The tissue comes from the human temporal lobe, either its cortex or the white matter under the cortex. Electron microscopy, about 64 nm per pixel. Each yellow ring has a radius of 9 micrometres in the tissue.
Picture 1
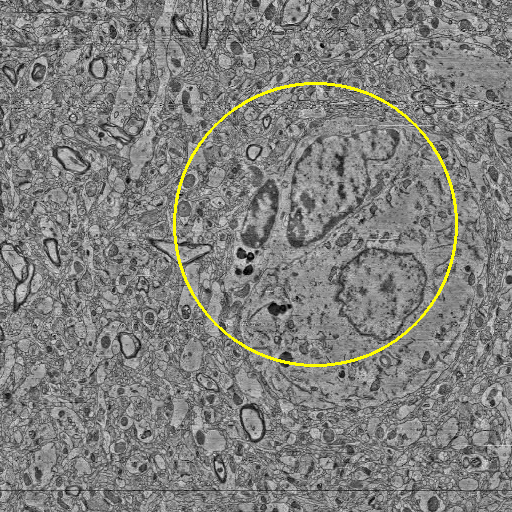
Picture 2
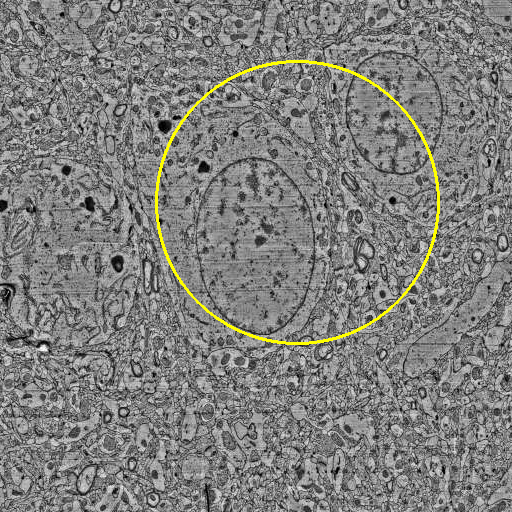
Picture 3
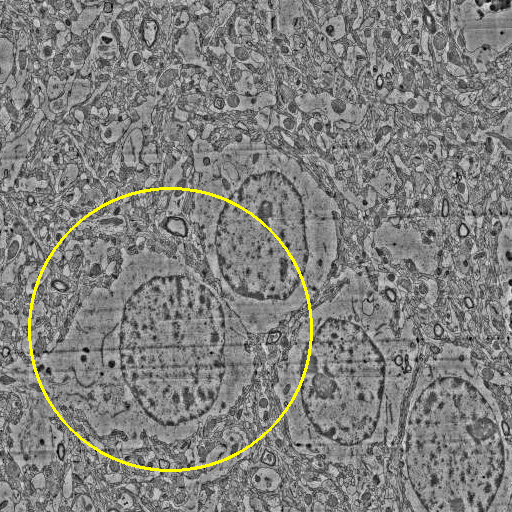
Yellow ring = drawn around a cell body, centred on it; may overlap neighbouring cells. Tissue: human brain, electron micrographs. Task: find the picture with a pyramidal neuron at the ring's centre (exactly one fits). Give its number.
2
